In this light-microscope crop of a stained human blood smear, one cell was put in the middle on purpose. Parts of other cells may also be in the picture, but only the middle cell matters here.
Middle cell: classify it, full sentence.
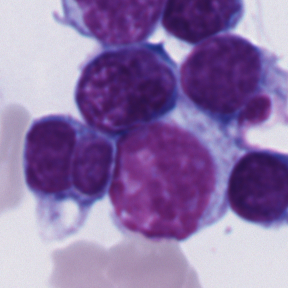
The cell at the centre of the field is a myeloblast.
